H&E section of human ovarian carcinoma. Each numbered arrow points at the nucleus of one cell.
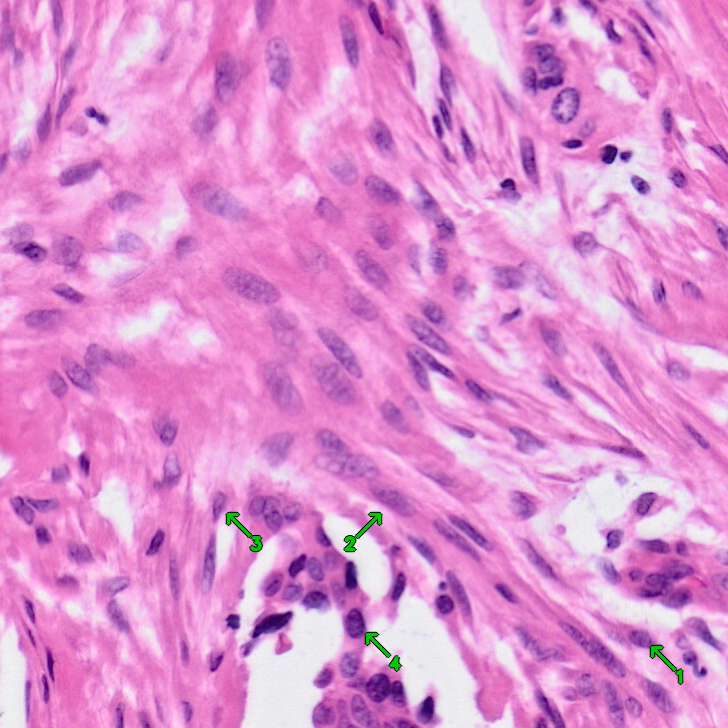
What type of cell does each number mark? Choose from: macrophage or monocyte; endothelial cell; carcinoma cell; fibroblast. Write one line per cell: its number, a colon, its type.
1: fibroblast
2: fibroblast
3: fibroblast
4: carcinoma cell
